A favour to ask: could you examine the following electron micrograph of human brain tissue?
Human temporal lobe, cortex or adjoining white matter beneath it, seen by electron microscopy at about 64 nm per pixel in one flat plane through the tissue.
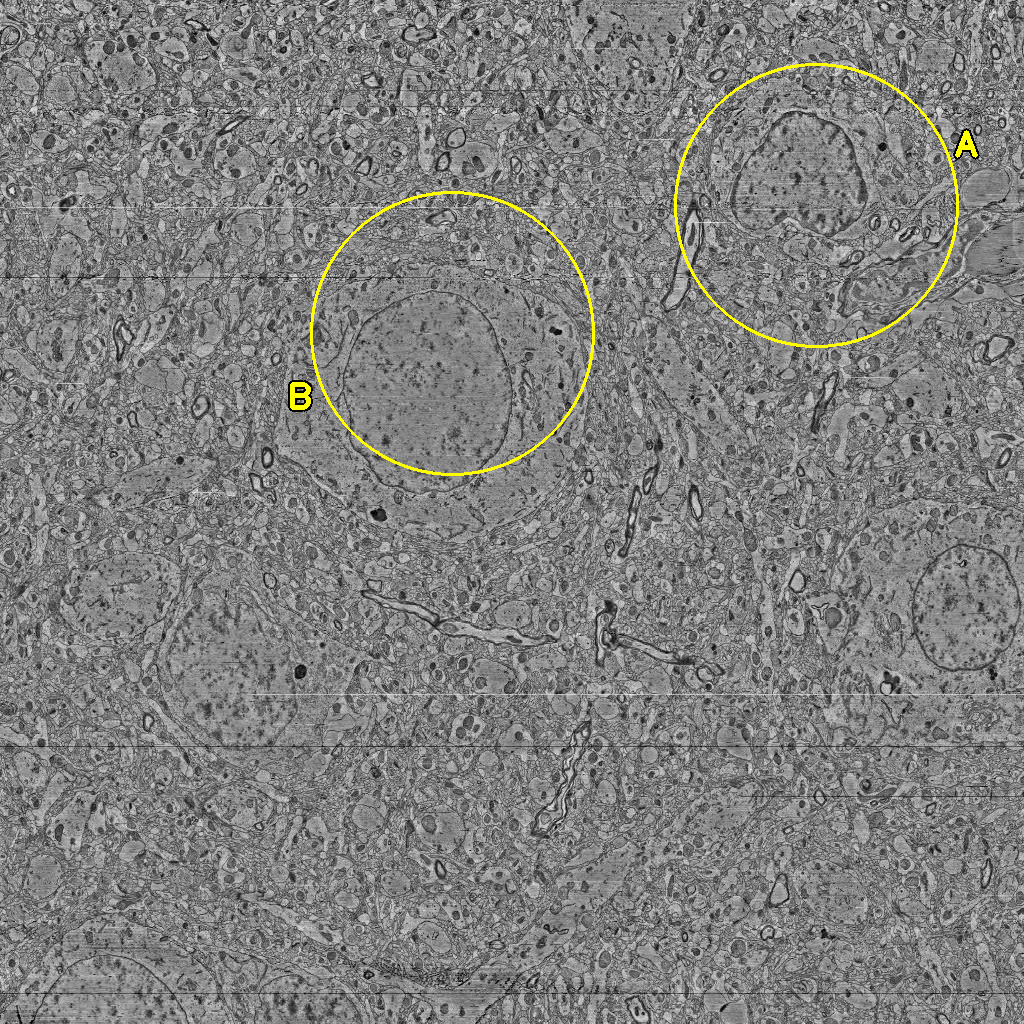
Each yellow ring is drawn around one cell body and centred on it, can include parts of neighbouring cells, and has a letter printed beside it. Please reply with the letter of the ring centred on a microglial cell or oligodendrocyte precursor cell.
A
